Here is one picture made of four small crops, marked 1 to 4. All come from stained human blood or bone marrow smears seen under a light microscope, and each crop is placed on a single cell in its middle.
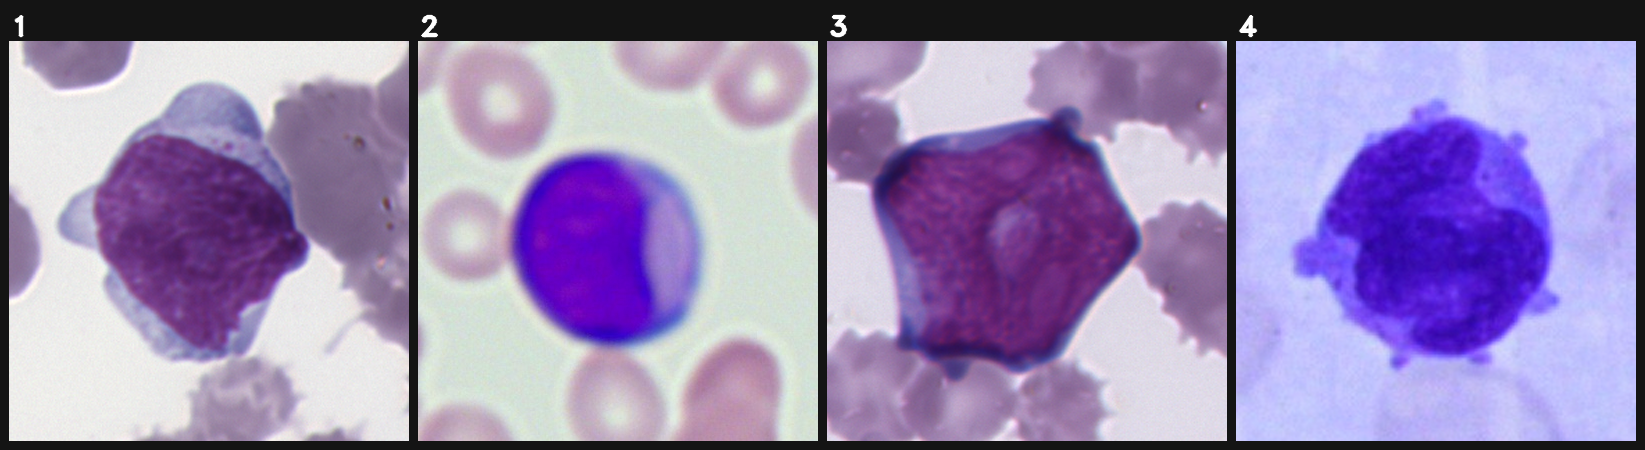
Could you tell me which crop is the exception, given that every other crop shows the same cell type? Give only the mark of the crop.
4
